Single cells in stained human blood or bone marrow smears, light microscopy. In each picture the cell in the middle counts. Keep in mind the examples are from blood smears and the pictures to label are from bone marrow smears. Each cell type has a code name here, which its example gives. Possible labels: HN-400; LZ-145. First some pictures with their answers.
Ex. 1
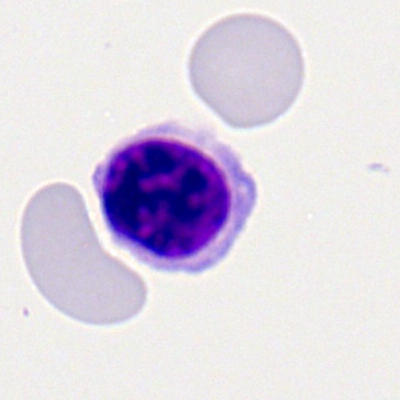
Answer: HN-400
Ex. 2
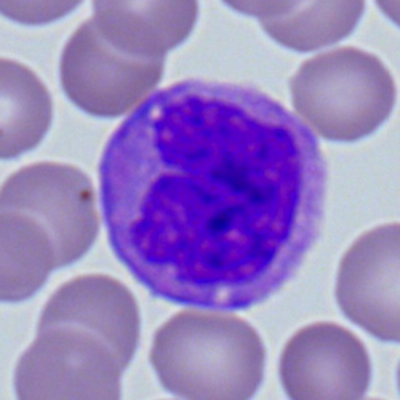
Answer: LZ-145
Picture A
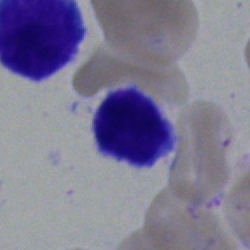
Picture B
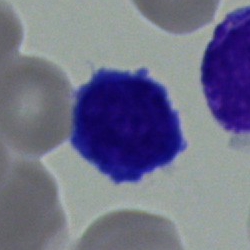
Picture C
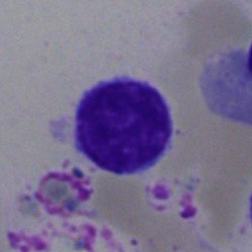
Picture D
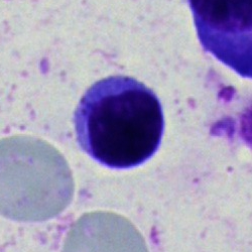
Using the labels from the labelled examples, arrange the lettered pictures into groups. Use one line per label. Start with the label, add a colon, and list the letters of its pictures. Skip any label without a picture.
HN-400: A, B, C, D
